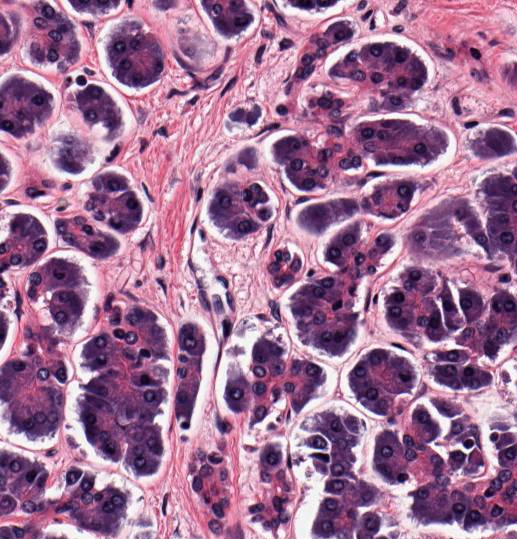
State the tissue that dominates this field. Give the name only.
exocrine pancreas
